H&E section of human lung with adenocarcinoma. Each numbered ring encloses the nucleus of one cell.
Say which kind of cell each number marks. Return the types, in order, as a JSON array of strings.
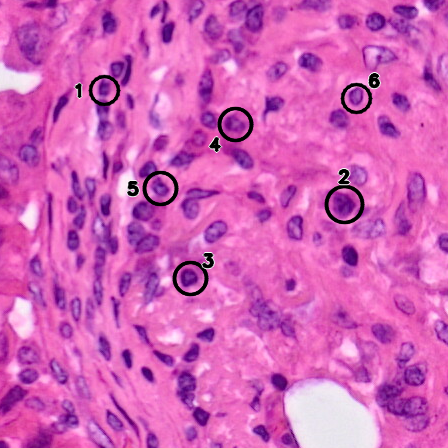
["lymphocyte", "plasma cell", "plasma cell", "plasma cell", "lymphocyte", "lymphocyte"]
